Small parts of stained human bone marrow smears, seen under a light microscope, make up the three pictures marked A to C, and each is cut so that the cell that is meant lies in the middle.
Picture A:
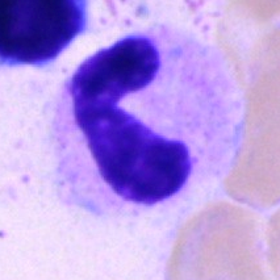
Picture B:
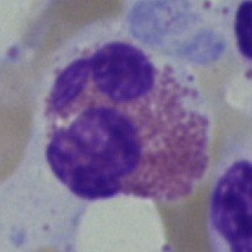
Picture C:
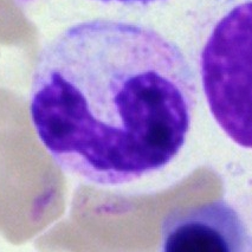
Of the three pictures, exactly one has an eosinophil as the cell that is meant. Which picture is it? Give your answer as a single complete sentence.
The eosinophil is the one in picture B.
